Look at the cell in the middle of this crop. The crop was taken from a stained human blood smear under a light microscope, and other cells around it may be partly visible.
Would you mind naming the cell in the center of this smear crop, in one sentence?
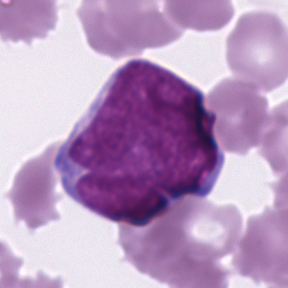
The cell marked by its central position in the crop is a myeloblast.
